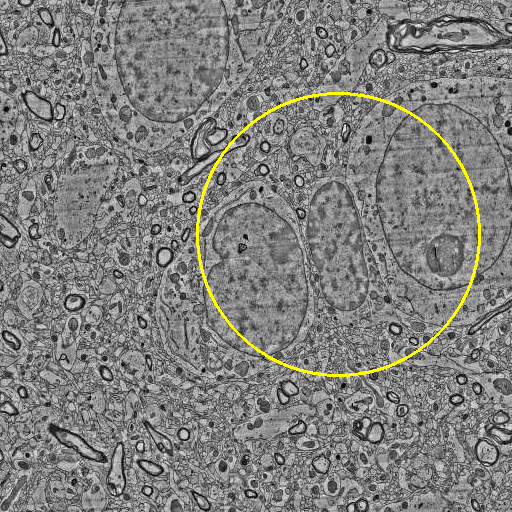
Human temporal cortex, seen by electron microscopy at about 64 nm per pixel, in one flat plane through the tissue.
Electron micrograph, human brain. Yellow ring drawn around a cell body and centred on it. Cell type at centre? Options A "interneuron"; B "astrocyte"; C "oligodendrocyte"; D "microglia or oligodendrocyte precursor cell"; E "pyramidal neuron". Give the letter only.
C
